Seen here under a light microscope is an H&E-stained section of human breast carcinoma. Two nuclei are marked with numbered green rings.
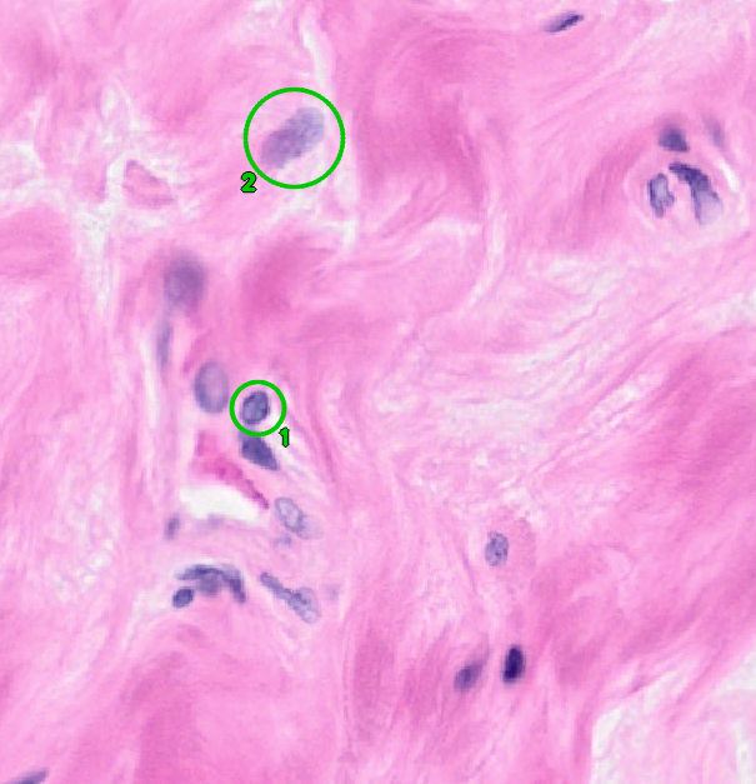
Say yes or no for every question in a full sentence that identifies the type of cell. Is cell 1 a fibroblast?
No, number 1 identifies a lymphocyte, not a fibroblast.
